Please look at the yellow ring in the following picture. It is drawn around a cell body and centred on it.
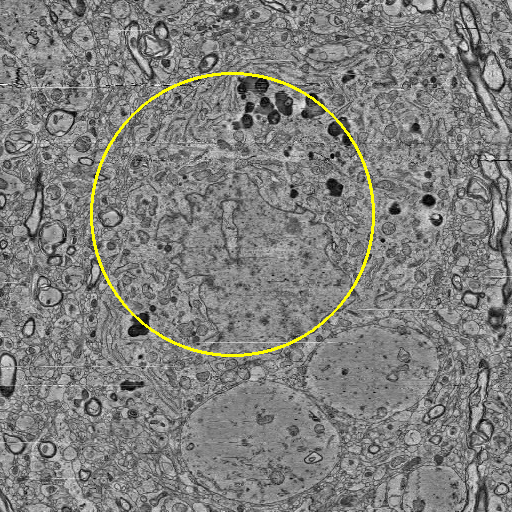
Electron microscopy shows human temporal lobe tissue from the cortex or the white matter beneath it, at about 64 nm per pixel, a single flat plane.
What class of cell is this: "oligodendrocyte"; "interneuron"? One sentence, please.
The ring surrounds the cell body of an interneuron.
